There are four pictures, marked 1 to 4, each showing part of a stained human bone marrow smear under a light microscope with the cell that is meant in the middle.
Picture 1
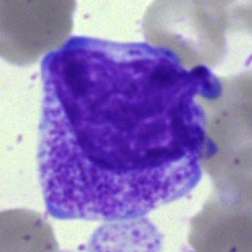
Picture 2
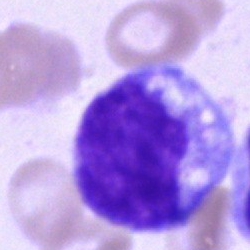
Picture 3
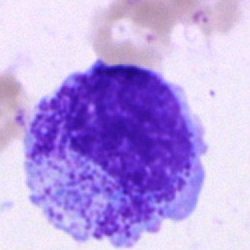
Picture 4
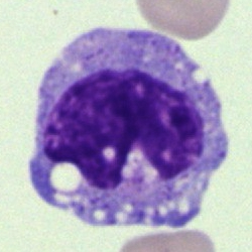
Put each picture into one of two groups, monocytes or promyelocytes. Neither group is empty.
1: promyelocyte
2: monocyte
3: promyelocyte
4: monocyte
